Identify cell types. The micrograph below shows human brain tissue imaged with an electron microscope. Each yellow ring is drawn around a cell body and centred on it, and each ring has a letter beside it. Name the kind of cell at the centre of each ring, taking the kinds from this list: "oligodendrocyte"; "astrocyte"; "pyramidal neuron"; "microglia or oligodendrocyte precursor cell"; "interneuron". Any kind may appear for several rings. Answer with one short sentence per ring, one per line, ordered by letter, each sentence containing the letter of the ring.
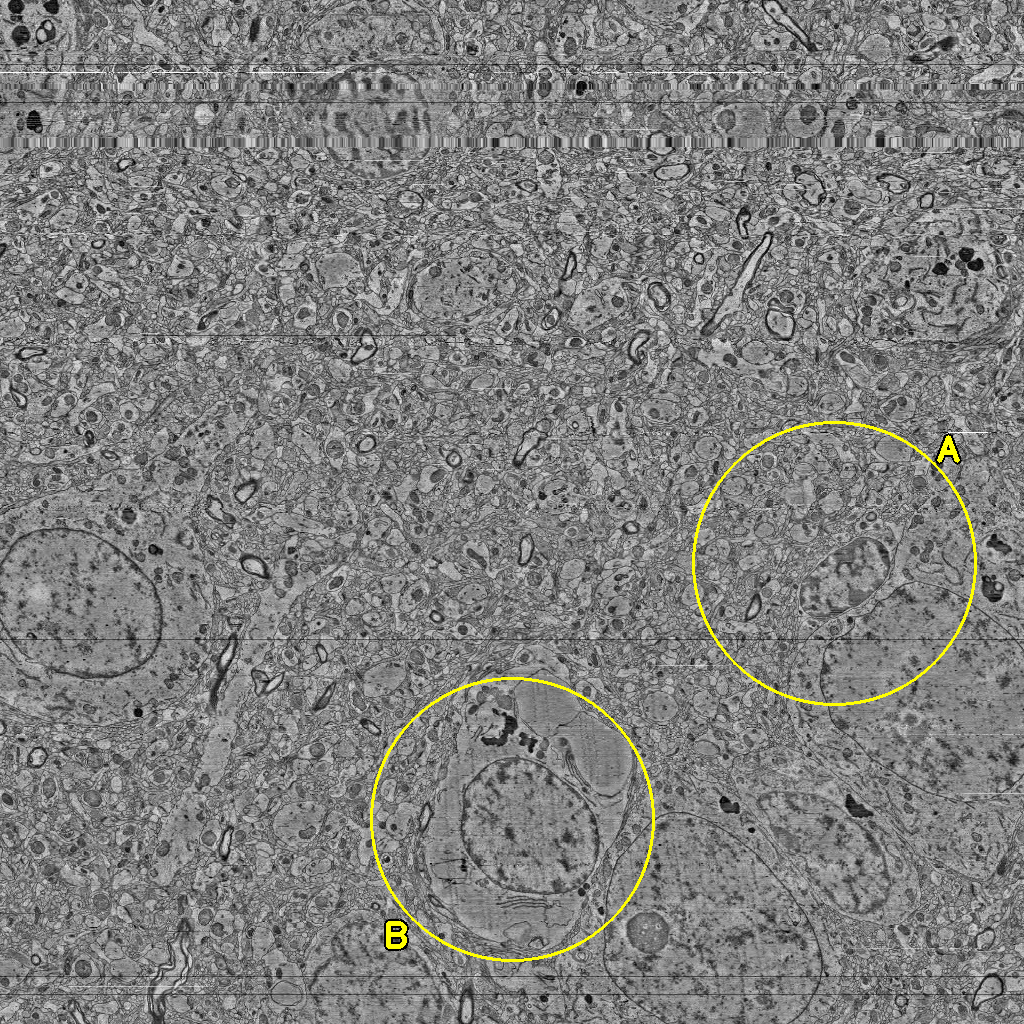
Ring A marks a microglial cell or oligodendrocyte precursor cell.
Ring B marks an astrocyte.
